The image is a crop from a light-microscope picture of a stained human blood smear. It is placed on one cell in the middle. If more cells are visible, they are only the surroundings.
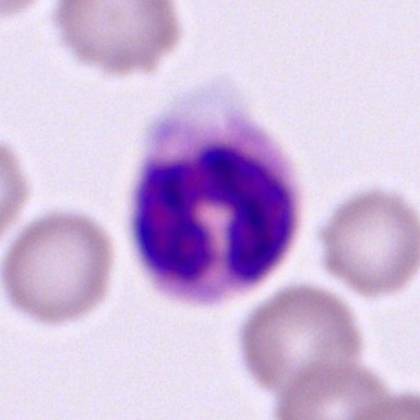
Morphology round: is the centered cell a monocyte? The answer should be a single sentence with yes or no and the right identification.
No, the middle cell is actually a neutrophil rather than a monocyte.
